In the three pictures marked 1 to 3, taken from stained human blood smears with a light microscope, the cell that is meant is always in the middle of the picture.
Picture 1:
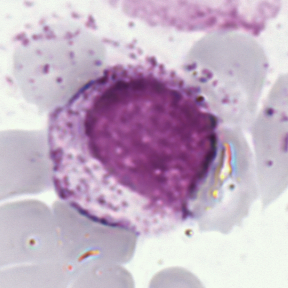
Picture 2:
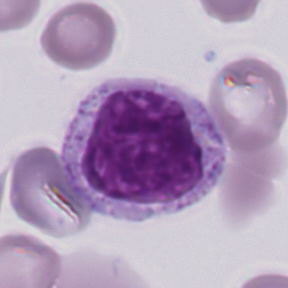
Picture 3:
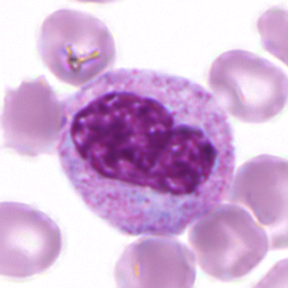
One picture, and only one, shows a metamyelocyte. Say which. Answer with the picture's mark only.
3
